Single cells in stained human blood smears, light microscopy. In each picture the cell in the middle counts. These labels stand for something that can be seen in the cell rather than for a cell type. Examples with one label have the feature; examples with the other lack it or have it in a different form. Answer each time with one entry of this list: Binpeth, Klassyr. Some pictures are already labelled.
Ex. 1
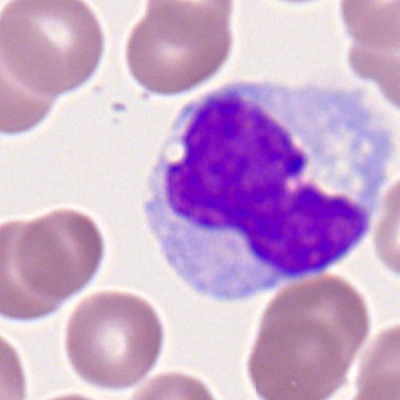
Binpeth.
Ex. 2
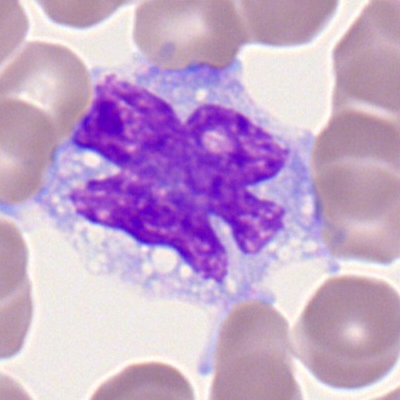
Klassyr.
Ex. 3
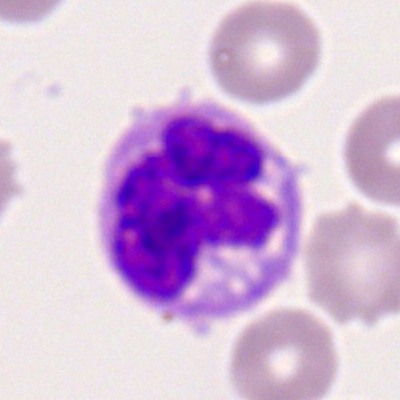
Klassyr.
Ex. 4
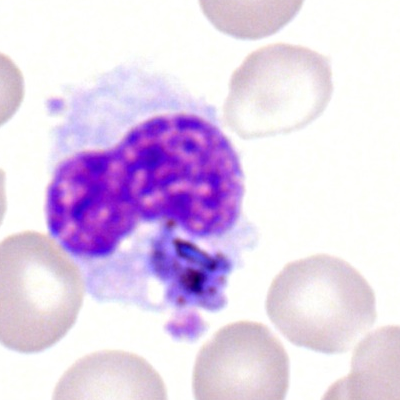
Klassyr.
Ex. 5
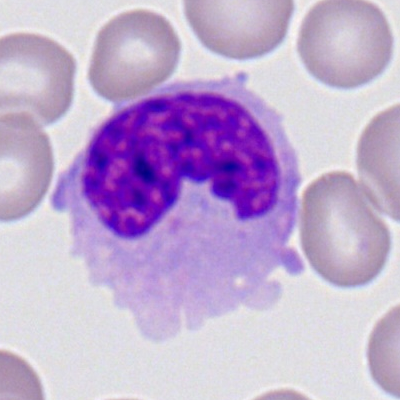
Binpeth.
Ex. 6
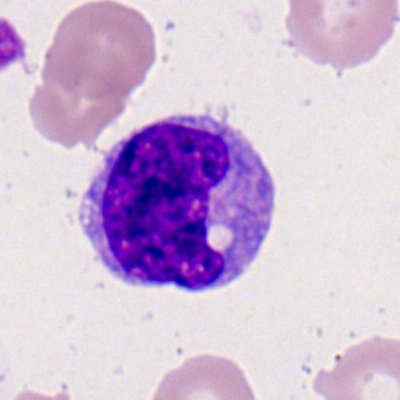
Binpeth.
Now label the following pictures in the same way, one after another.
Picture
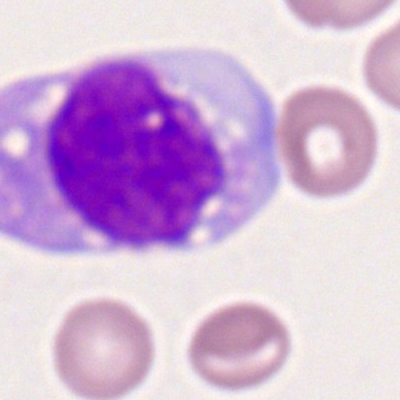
Binpeth.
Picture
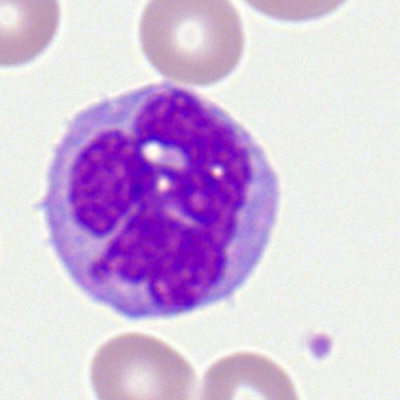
Klassyr.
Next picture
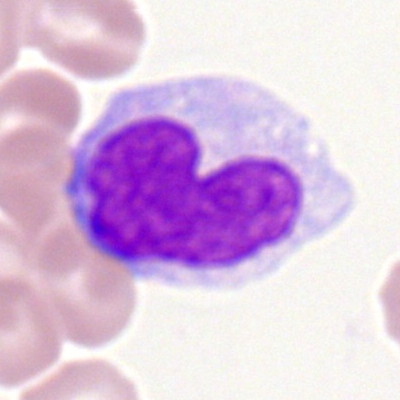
Binpeth.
